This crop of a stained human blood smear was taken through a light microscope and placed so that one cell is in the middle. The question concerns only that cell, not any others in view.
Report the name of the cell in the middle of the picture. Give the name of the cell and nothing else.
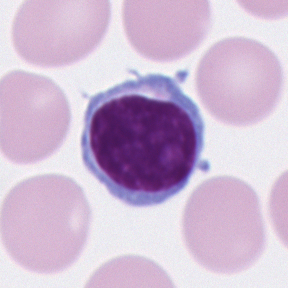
typical lymphocyte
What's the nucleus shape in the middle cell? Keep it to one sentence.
If you check the nucleus, you will find one compact mass, round, oval or kidney-shaped.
